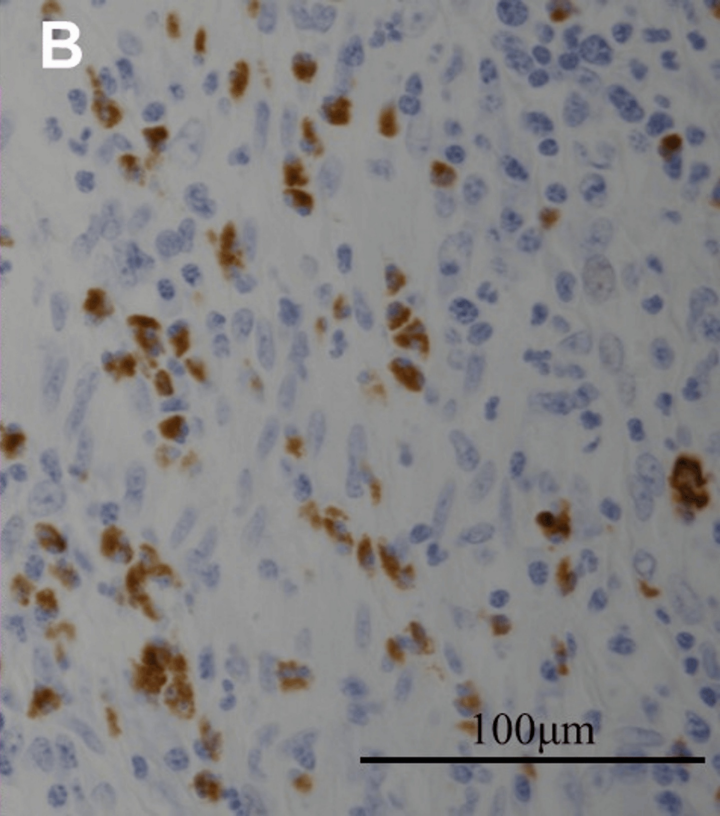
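This is inflamed fibrous tissue at high power. Many round cells, scattered singly and in small clusters, have cytoplasm that is stained brown. Between them lie blue-stained nuclei of unstained cells, many of them elongated, as in a spindle-cell stroma.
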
